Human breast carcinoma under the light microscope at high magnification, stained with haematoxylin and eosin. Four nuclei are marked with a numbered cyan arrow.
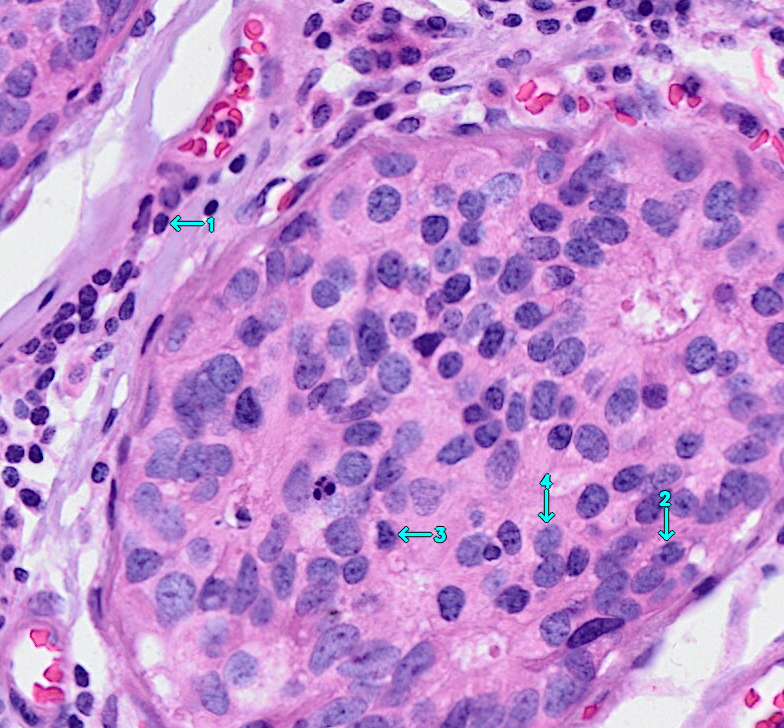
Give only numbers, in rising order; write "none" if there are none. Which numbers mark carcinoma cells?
2, 3, 4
